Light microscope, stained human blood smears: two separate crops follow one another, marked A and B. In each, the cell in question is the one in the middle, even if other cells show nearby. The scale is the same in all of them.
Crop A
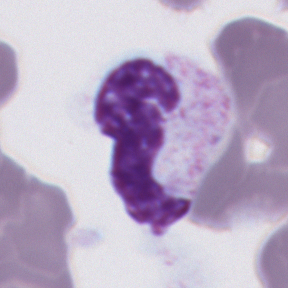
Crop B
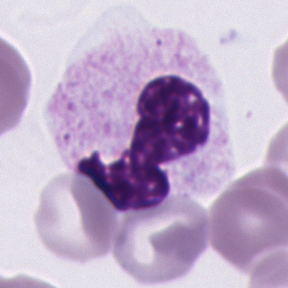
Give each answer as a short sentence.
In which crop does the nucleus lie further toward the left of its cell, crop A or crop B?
The nucleus in crop A lies further toward the left of its cell.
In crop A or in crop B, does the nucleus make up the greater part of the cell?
It is the cell in crop A that is filled more by its nucleus.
